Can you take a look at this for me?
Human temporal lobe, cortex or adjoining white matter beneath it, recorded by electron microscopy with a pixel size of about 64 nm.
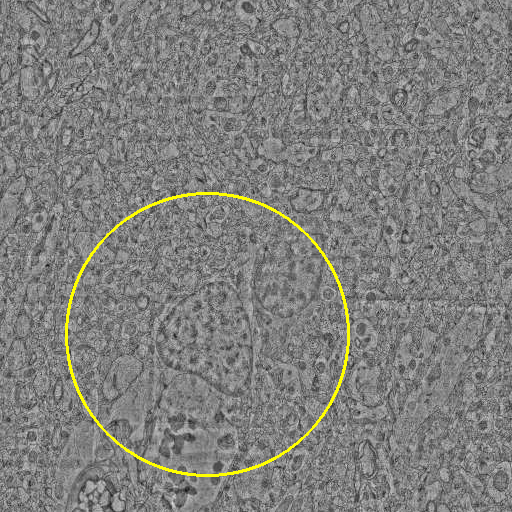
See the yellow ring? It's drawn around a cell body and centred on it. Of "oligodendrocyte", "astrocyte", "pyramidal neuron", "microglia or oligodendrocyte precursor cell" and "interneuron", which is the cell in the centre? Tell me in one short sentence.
The one in the centre is a microglial cell or oligodendrocyte precursor cell.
